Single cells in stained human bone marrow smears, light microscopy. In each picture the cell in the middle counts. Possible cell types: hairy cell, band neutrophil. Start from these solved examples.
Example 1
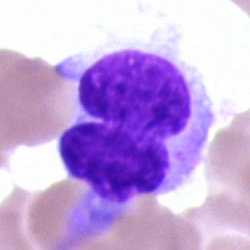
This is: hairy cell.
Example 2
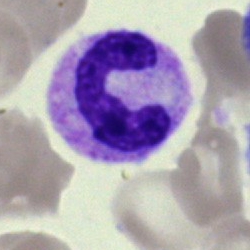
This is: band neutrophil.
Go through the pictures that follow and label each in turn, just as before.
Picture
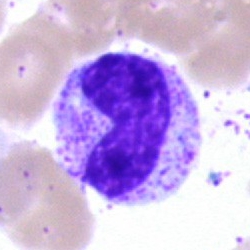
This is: band neutrophil.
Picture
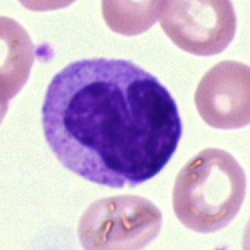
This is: band neutrophil.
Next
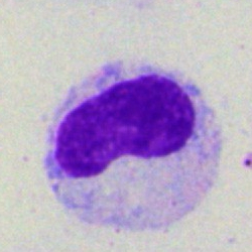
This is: band neutrophil.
